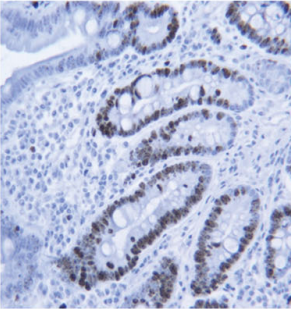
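This is intestinal mucosa with crypts cut obliquely and in cross-section. Many of the columnar epithelial nuclei lining the crypts are stained dark brown, and pale, rounded goblet cells are interspersed among them. The crypts are surrounded by lamina propria full of small blue-counterstained nuclei, while the surface epithelium at the upper left is largely unstained.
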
